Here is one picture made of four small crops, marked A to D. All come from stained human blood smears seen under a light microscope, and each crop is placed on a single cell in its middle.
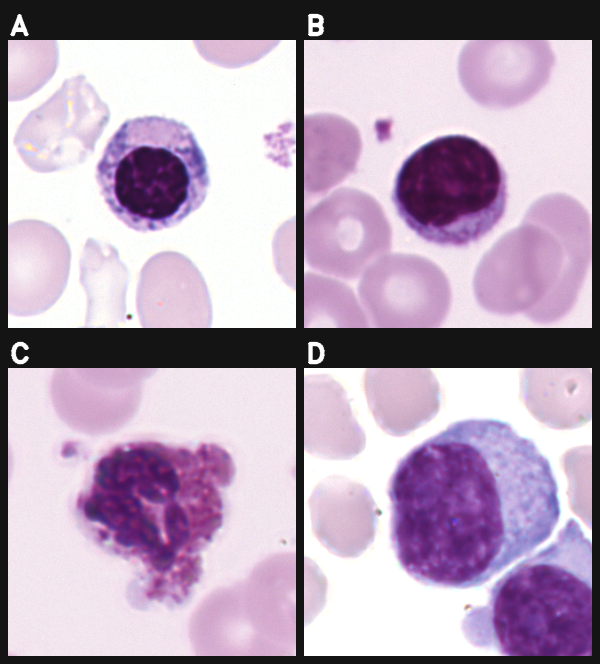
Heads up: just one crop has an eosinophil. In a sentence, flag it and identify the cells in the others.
Crop C features an eosinophil, while crop A is a normoblast, crop B is a large granular lymphocyte and crop D is a plasma cell.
